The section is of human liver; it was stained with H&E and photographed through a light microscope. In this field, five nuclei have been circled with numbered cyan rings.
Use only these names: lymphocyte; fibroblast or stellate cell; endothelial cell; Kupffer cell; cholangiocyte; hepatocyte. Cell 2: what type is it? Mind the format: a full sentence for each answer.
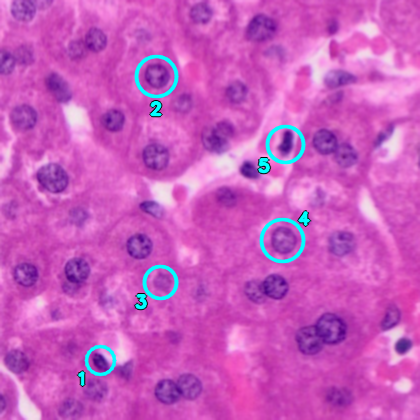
To a hepatocyte belongs the nucleus marked 2.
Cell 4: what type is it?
The cell assigned the number 4 is a hepatocyte.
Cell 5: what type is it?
Corresponding to a lymphocyte is the cell labelled 5.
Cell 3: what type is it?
It is as a hepatocyte that the cell numbered 3 is identified.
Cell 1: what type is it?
The correct label for cell 1 is a fibroblast or stellate cell.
